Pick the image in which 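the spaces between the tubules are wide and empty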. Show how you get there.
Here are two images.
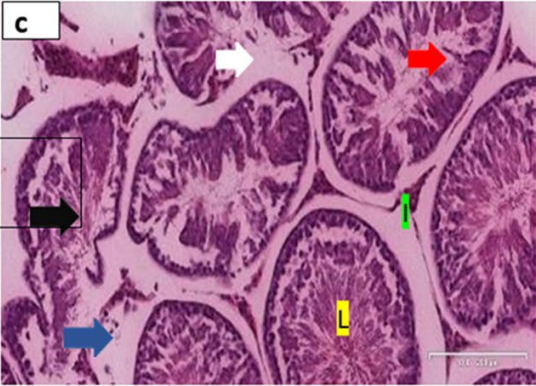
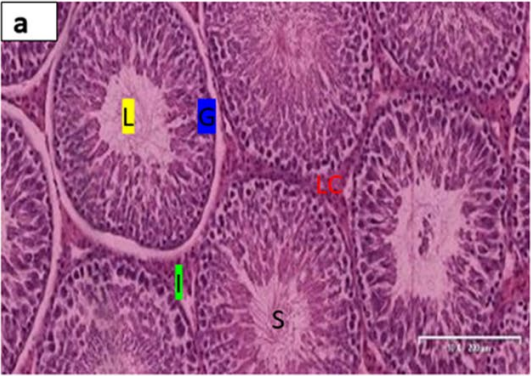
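First image: tubules are separated by broad pale empty spaces. Second image: tubules lie close together with narrow interstitial spaces between them. The answer: the first image.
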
